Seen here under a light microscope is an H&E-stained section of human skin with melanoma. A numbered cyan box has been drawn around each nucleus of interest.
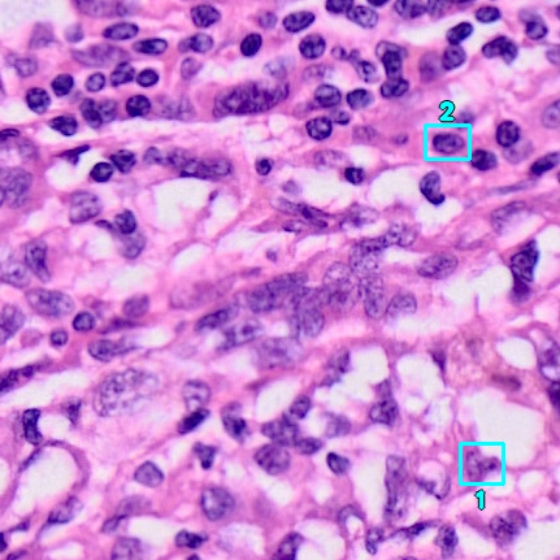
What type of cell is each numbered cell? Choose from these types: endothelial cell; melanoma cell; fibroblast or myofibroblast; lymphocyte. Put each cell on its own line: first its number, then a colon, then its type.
1: melanoma cell
2: lymphocyte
